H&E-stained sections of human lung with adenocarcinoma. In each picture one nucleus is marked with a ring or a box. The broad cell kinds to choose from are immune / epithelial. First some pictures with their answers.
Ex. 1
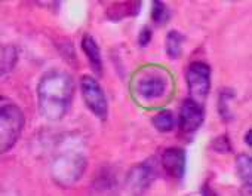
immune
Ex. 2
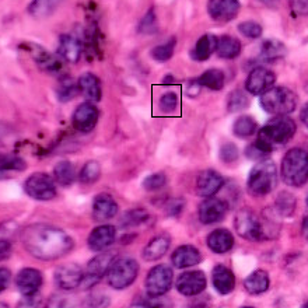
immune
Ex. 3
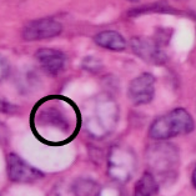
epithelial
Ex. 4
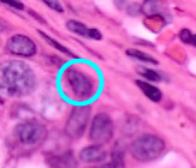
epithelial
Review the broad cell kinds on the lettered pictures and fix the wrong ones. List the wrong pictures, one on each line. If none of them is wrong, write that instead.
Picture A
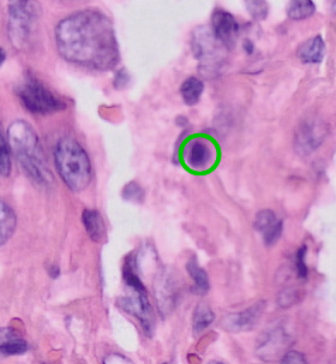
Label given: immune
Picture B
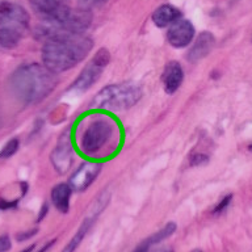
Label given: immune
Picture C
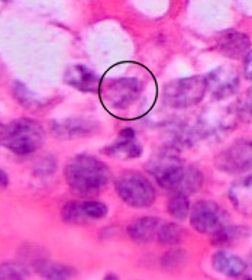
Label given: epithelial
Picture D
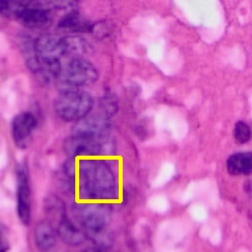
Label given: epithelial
Every label is right.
